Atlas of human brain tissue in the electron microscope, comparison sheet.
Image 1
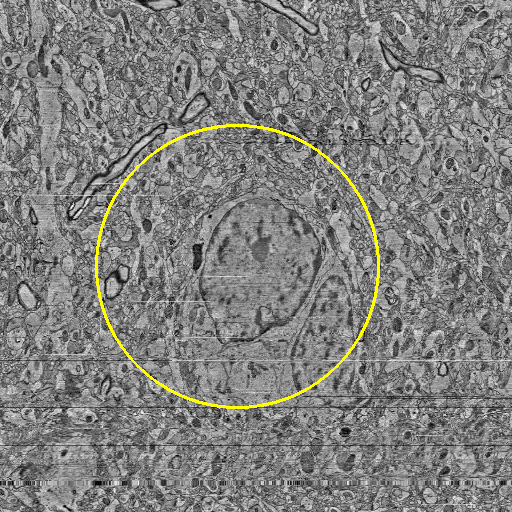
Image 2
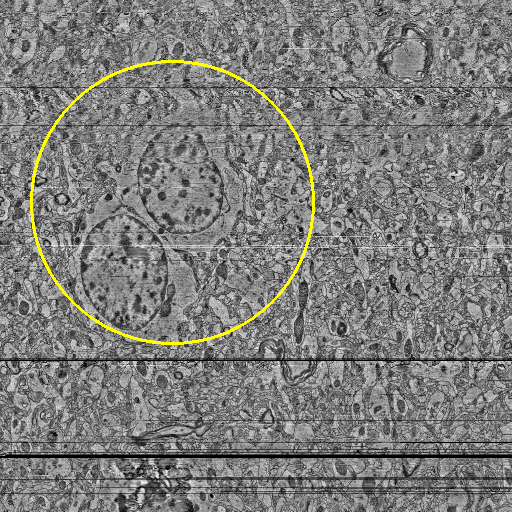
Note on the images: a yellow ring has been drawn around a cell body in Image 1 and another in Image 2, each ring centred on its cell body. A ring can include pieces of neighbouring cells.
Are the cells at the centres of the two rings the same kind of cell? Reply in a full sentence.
No, the two cells are of two kinds.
